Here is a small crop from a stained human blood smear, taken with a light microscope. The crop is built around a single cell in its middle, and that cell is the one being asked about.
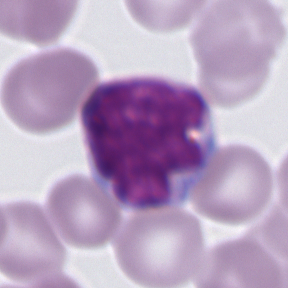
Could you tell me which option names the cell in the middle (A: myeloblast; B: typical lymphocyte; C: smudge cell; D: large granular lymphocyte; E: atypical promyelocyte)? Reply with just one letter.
D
